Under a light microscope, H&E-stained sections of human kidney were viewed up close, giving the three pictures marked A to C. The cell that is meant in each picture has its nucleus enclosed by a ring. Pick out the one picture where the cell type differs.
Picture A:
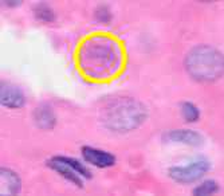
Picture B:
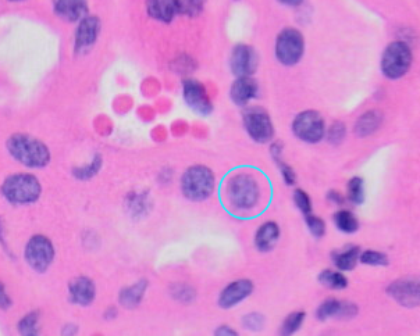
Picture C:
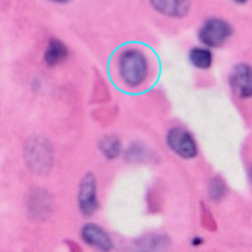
B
